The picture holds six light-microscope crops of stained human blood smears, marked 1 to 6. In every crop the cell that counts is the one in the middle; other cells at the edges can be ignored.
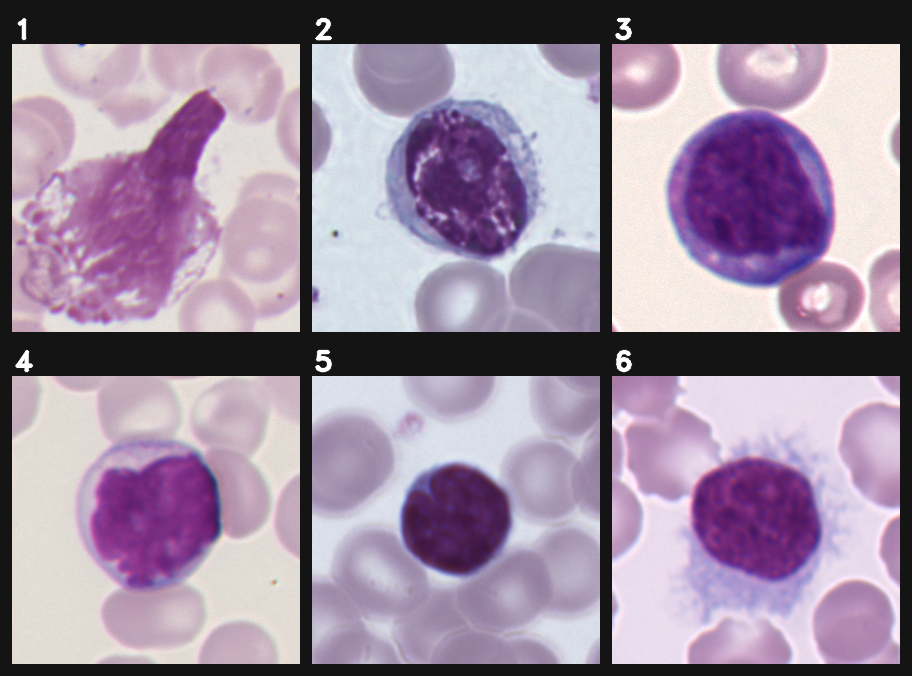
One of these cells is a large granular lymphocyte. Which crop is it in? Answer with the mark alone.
4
